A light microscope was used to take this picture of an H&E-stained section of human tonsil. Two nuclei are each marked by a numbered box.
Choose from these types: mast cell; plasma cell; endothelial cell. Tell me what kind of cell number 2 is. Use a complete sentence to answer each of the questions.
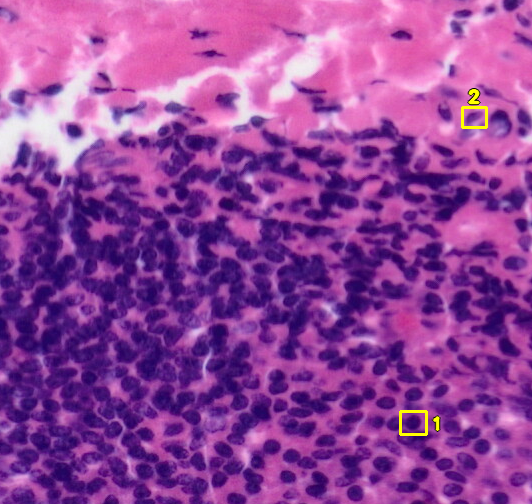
The cell that carries the label 2 is an endothelial cell.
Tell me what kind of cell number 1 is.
The cell pointed out as number 1 is a plasma cell.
